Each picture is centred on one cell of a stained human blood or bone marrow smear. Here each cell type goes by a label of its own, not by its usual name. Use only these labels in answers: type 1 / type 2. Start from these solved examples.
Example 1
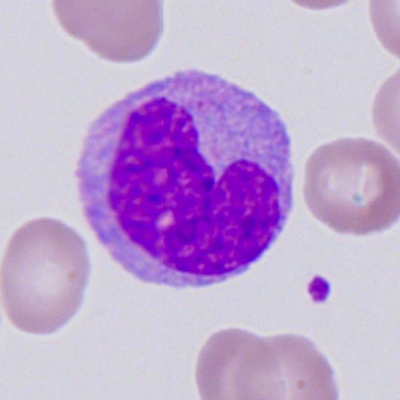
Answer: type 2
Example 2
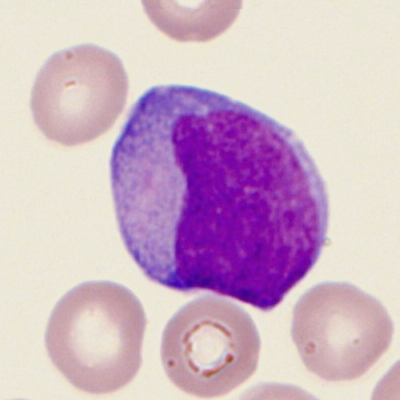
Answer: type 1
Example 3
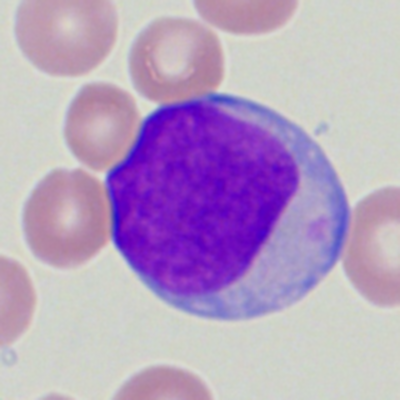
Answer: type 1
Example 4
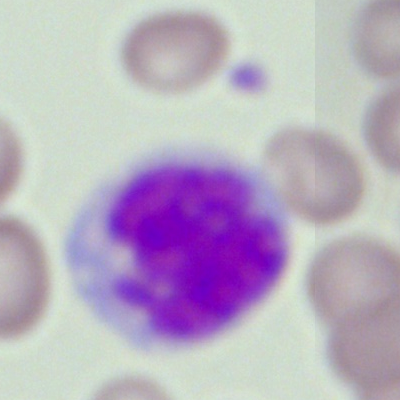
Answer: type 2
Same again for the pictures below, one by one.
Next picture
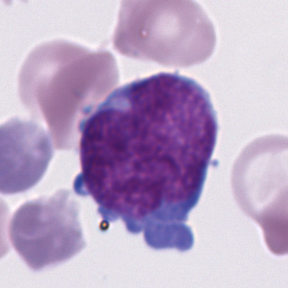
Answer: type 1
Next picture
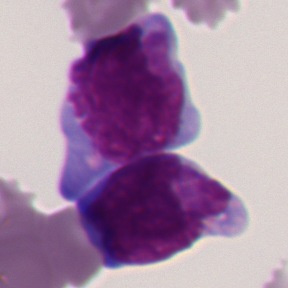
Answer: type 1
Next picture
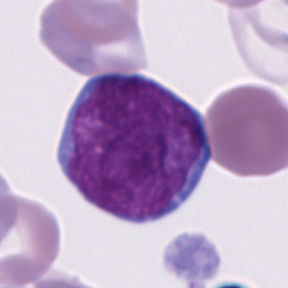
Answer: type 1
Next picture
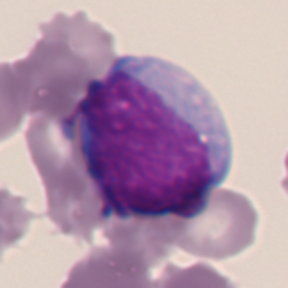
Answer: type 1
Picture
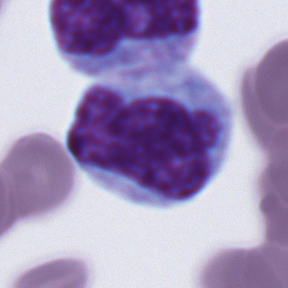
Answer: type 2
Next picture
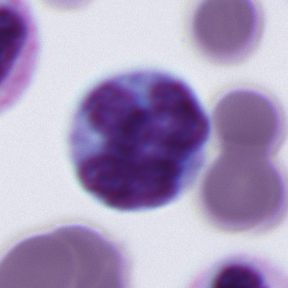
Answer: type 2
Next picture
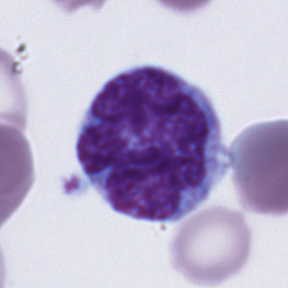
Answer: type 2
